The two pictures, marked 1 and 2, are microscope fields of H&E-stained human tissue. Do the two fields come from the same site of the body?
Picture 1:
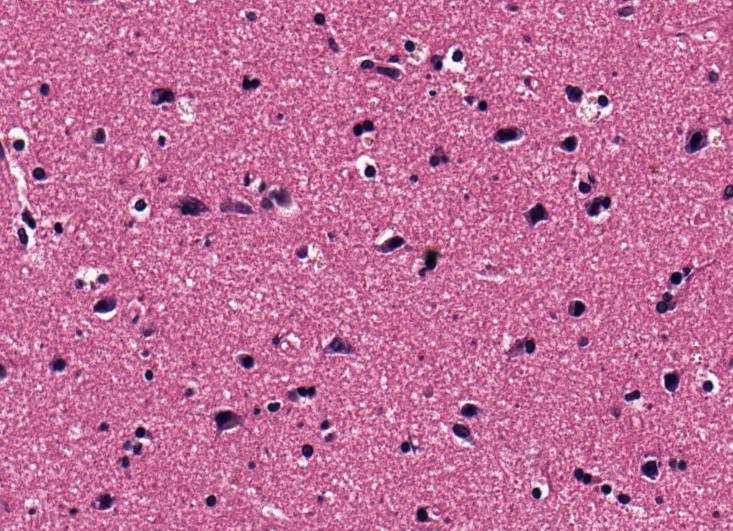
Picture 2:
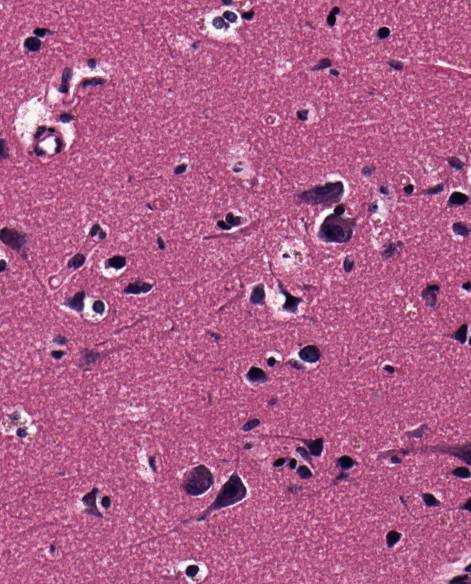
yes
